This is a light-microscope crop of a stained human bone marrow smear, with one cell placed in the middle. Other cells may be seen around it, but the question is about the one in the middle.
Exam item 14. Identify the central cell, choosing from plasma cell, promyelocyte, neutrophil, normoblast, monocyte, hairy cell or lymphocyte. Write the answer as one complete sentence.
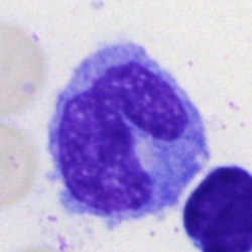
The cell positioned in the middle of the field is a monocyte.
